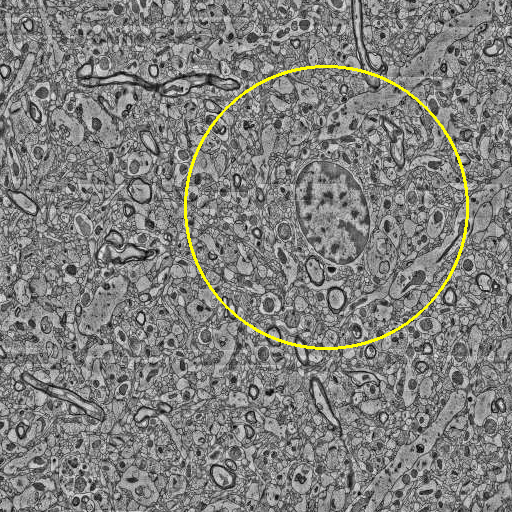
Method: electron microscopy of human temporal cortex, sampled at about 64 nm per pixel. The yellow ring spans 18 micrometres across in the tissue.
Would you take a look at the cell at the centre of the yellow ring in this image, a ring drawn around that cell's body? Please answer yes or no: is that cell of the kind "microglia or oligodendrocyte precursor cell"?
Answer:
yes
